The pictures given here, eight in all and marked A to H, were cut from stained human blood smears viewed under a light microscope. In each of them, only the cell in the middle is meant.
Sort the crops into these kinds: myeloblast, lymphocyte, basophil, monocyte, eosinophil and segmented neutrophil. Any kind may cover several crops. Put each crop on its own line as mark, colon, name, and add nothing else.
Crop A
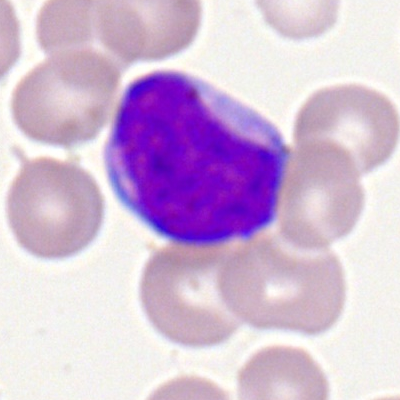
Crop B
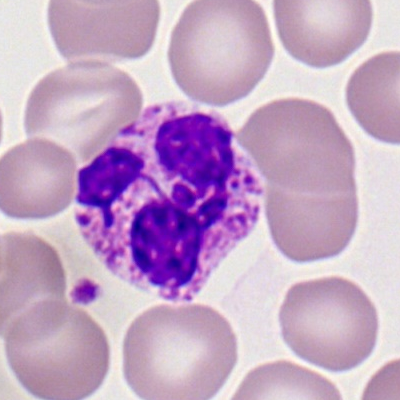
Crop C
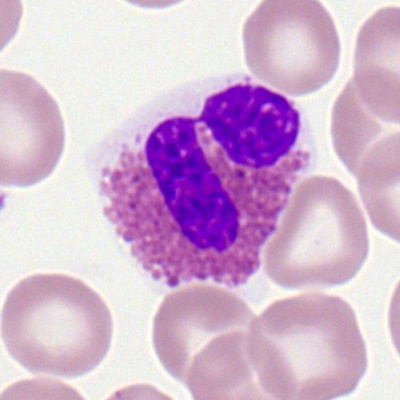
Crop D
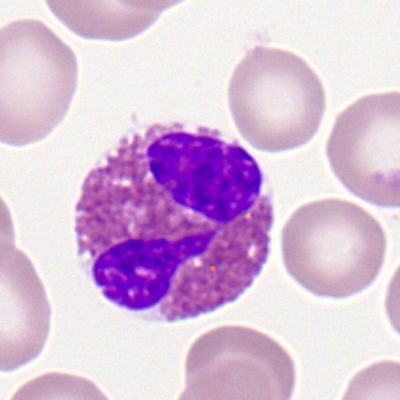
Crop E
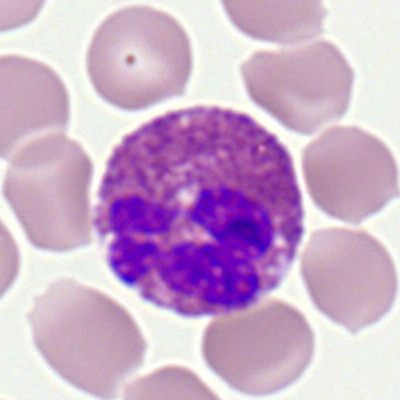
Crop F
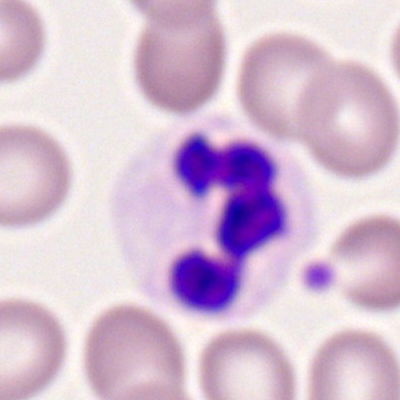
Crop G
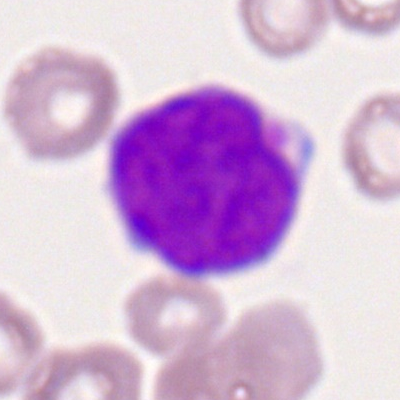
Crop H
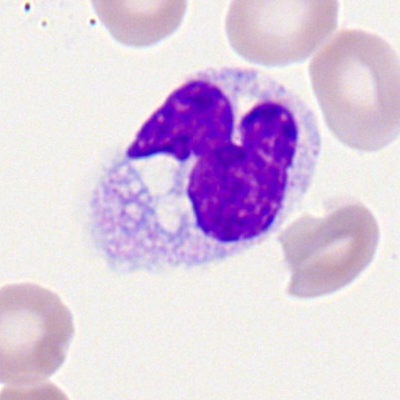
A: myeloblast
B: basophil
C: eosinophil
D: eosinophil
E: eosinophil
F: segmented neutrophil
G: myeloblast
H: monocyte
